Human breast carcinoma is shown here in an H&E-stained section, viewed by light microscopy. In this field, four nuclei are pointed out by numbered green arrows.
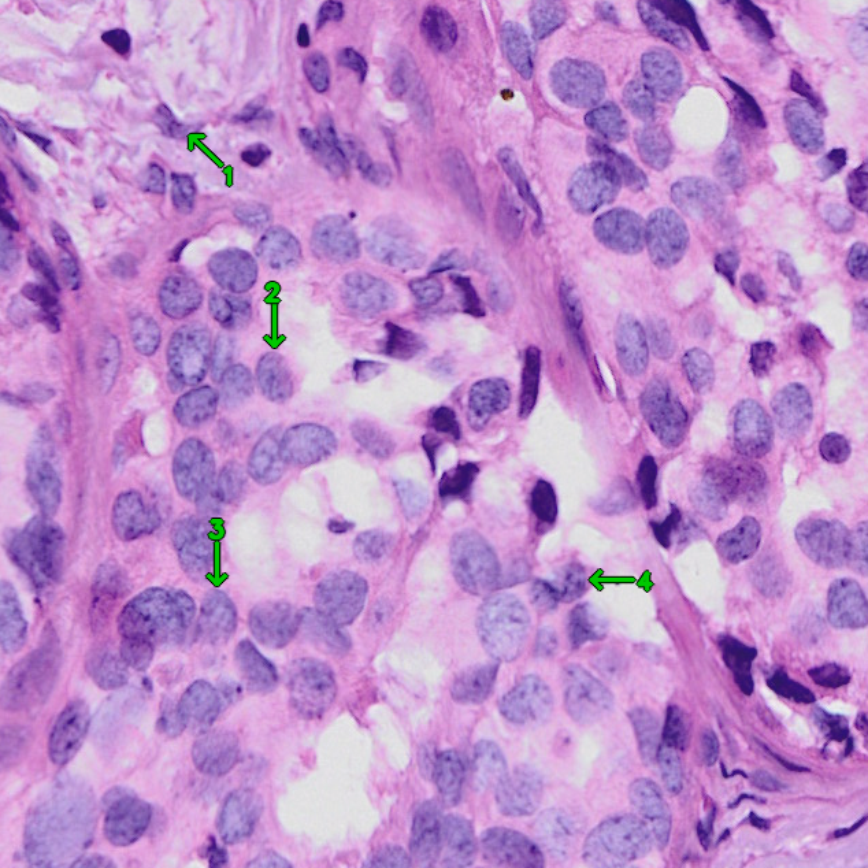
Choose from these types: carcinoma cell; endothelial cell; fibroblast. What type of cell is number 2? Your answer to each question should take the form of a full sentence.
The correct label for cell 2 is a carcinoma cell.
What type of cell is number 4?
Cell 4 in the field of view is a carcinoma cell.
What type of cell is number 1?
Cell number 1 in this section is a fibroblast.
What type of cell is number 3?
Here the cell numbered 3 is a carcinoma cell.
